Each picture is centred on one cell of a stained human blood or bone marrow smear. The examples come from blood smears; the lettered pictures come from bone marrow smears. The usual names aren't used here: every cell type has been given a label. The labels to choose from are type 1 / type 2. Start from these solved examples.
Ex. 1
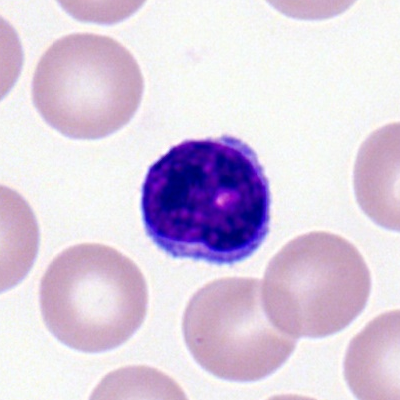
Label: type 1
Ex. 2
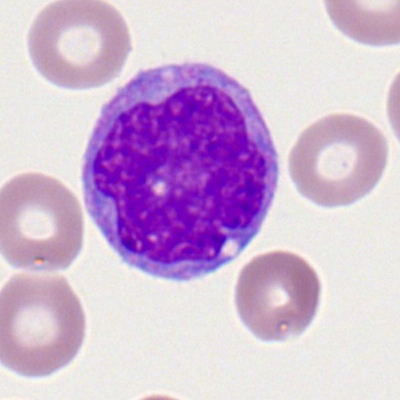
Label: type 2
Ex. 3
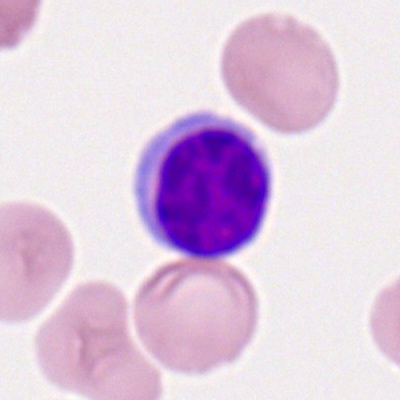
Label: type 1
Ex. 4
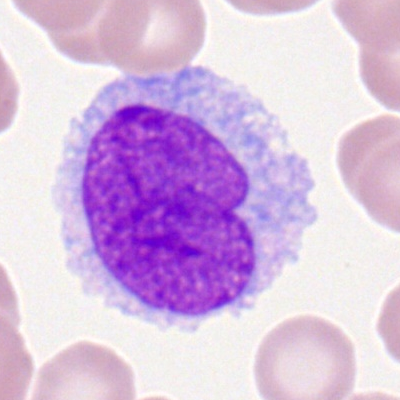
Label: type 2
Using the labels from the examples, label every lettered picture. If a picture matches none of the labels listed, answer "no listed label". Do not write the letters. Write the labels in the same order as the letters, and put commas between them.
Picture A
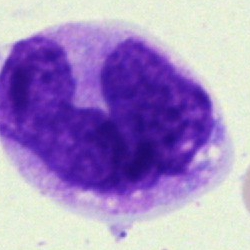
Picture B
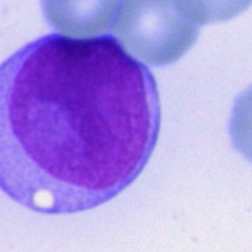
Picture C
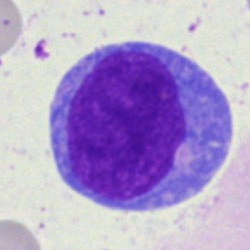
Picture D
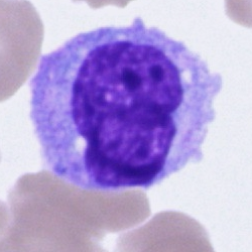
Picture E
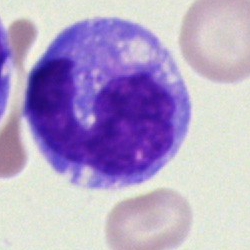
type 2, no listed label, no listed label, type 2, type 2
